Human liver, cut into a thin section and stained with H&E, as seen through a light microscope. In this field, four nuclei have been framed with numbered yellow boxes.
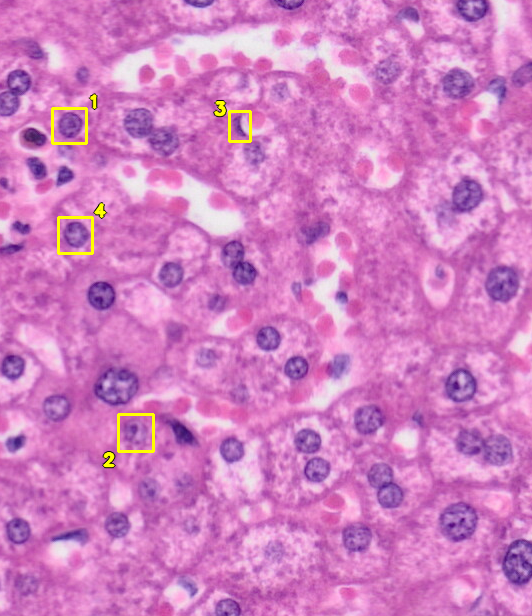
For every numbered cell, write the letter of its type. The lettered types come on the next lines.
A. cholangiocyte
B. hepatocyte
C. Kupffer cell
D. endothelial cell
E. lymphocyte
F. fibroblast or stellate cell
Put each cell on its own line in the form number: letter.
1: B
2: B
3: D
4: B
